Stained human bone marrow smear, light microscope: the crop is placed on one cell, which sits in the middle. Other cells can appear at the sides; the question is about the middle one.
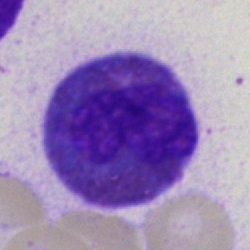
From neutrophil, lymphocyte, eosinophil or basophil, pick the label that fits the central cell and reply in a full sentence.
Where the crop is centred, there is an eosinophil.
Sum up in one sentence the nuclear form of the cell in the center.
What stands out is a nucleus forming one compact round, oval or kidney-shaped mass.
